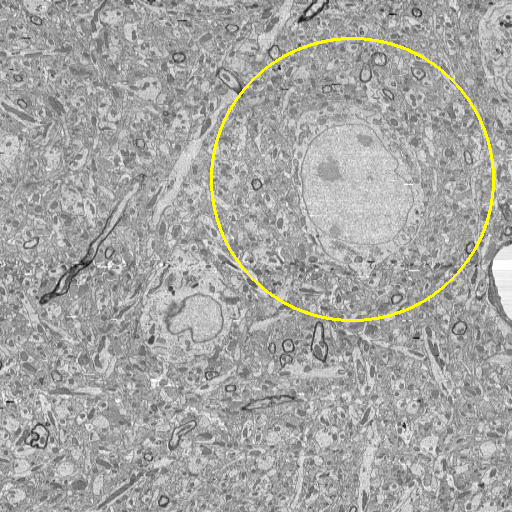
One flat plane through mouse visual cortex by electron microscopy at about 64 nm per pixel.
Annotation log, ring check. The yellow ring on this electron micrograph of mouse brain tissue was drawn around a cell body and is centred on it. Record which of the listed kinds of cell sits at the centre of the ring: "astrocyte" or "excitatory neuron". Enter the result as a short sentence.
The cell at the centre of the ring is an excitatory neuron.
